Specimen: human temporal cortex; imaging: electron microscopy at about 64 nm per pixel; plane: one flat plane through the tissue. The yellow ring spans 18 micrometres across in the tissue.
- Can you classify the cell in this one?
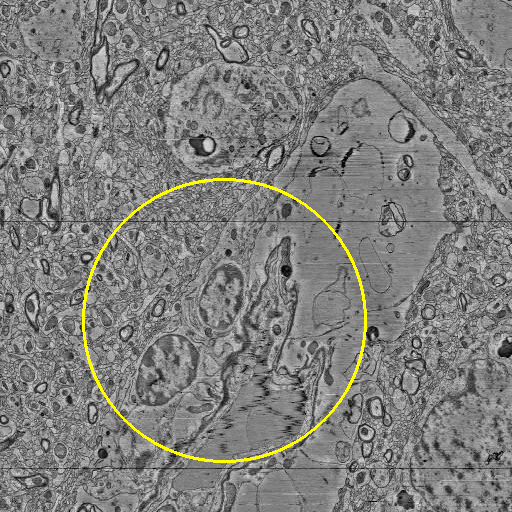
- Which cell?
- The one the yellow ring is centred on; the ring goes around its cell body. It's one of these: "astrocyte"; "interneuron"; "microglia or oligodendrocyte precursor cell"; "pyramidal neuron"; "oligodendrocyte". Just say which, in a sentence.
The cell body in the ring belongs to a microglial cell or oligodendrocyte precursor cell.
